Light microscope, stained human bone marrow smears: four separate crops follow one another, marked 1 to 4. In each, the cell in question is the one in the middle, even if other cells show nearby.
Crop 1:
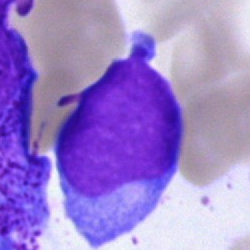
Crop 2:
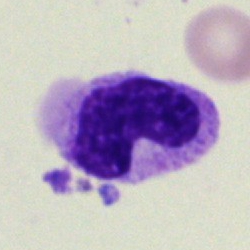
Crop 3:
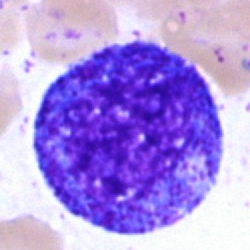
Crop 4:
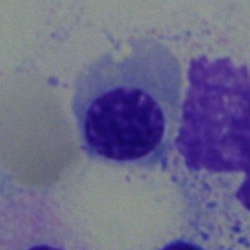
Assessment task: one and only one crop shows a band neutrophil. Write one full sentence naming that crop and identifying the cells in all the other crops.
The middle of crop 2 holds a band neutrophil, while crop 1 is a blast, crop 3 is a promyelocyte and crop 4 is an erythroblast.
